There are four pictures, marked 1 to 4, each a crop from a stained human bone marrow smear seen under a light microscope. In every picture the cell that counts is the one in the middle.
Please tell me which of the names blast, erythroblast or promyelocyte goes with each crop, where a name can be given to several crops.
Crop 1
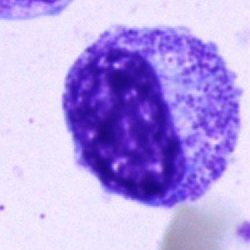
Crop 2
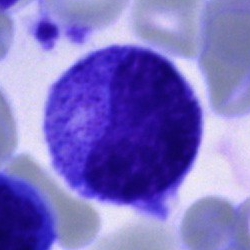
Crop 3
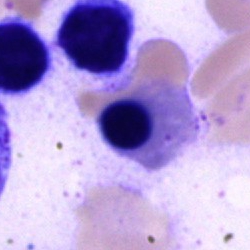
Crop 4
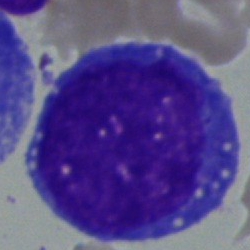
1: promyelocyte
2: promyelocyte
3: erythroblast
4: blast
